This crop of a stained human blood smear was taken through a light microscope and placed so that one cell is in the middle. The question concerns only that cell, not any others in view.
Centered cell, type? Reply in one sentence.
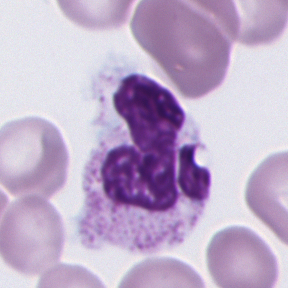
The crop shows a segmented neutrophil in its centre.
